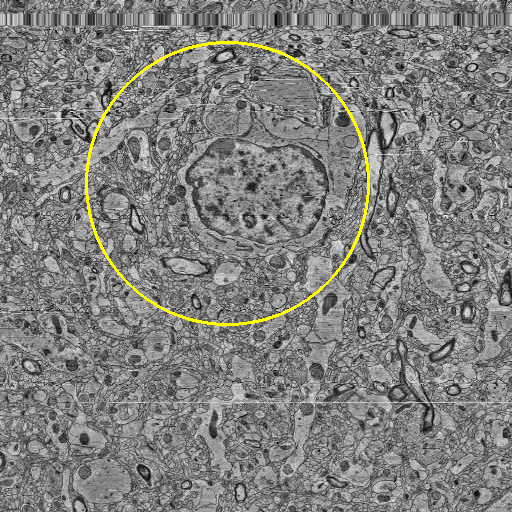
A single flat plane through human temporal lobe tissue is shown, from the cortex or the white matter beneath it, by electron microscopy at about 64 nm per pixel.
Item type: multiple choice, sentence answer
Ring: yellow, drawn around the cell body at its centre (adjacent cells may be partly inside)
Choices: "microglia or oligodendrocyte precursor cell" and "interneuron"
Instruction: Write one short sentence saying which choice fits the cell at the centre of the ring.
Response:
This ring is drawn around a microglial cell or oligodendrocyte precursor cell.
